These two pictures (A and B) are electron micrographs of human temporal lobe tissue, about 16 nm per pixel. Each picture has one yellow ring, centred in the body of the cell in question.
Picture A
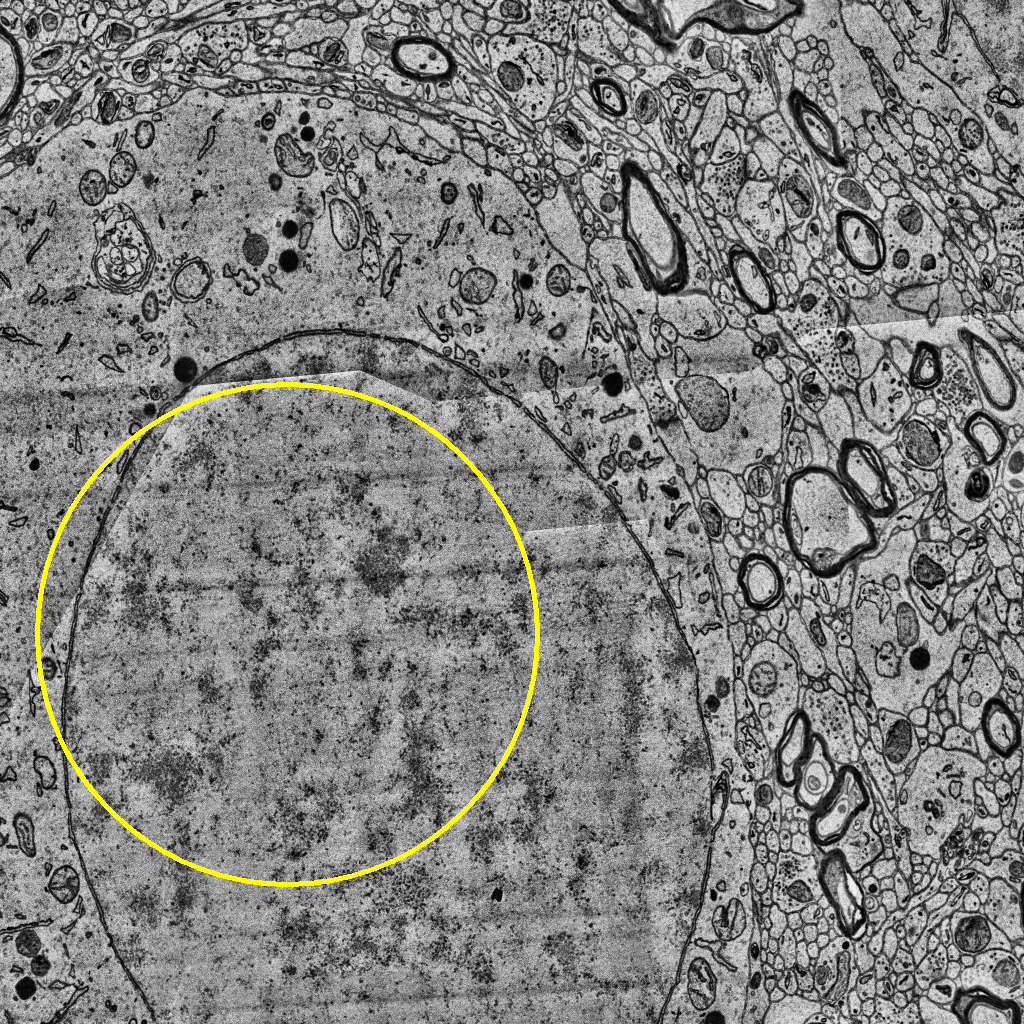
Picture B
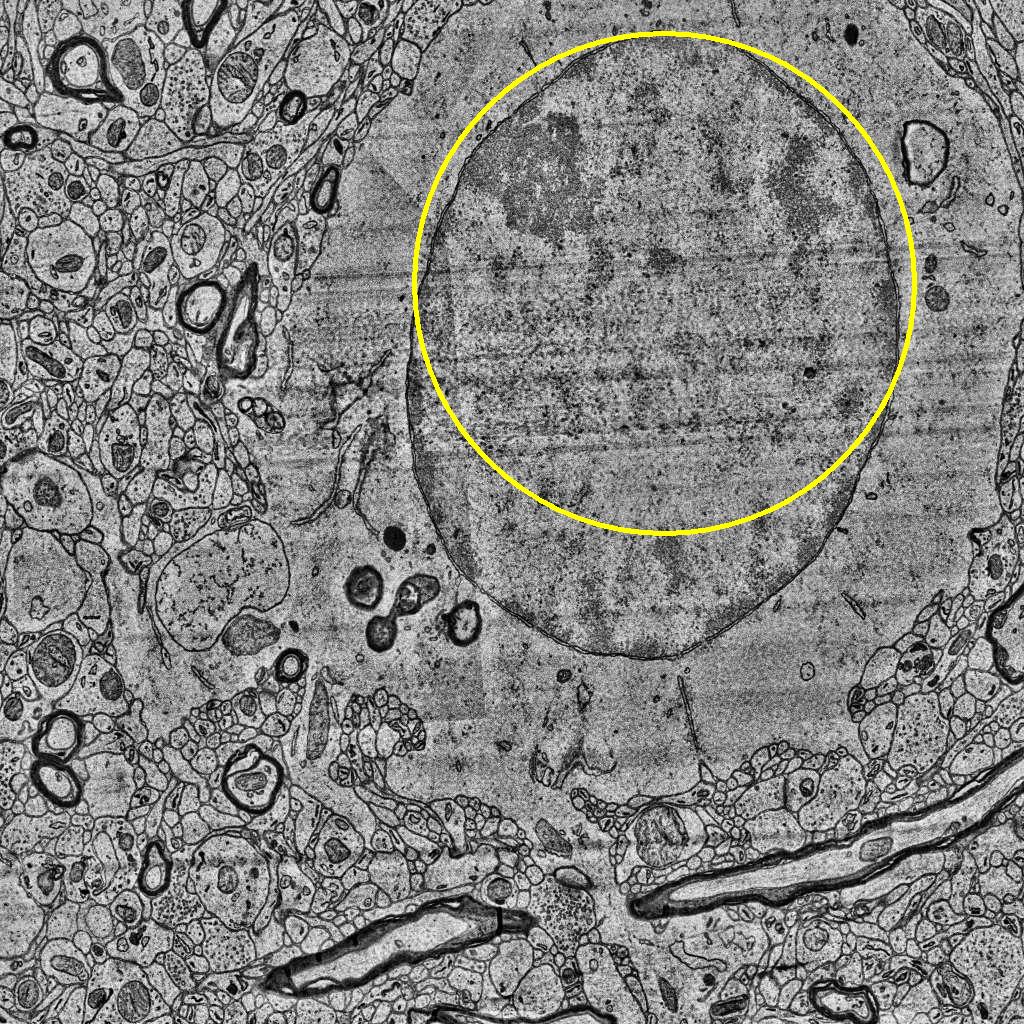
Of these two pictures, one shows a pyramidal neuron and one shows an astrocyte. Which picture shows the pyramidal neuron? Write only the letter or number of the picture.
A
